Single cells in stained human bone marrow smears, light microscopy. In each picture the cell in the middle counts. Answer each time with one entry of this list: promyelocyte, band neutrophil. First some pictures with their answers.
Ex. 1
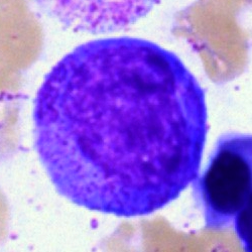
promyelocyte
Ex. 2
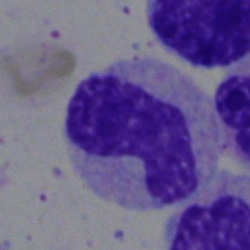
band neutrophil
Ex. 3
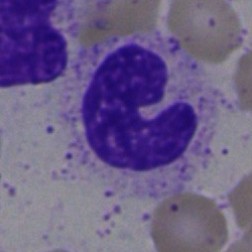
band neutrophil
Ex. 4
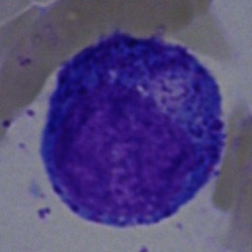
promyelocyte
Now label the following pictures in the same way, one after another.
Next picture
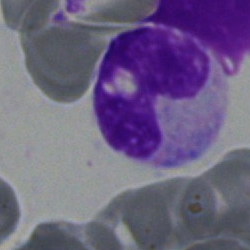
band neutrophil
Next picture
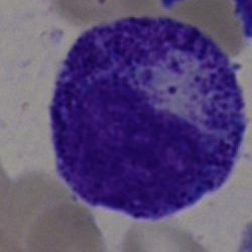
promyelocyte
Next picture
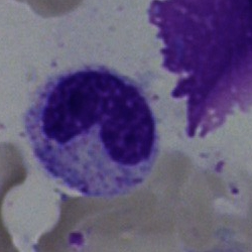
band neutrophil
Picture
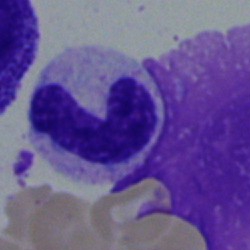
band neutrophil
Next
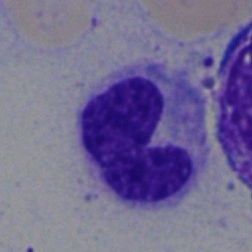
band neutrophil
